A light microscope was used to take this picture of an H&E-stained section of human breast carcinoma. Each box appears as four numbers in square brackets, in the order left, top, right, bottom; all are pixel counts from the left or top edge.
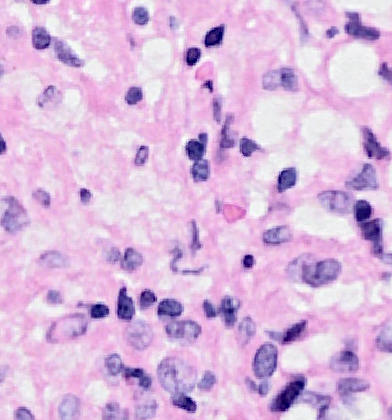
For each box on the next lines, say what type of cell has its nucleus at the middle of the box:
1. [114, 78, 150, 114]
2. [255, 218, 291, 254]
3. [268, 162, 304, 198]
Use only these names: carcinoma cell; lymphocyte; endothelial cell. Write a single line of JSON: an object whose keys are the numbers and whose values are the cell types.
{"1": "lymphocyte", "2": "endothelial cell", "3": "lymphocyte"}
